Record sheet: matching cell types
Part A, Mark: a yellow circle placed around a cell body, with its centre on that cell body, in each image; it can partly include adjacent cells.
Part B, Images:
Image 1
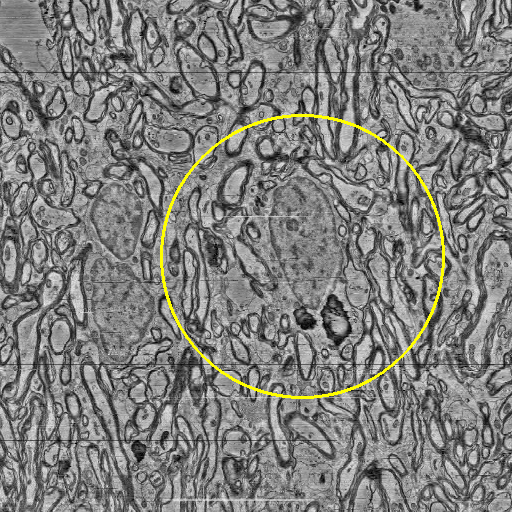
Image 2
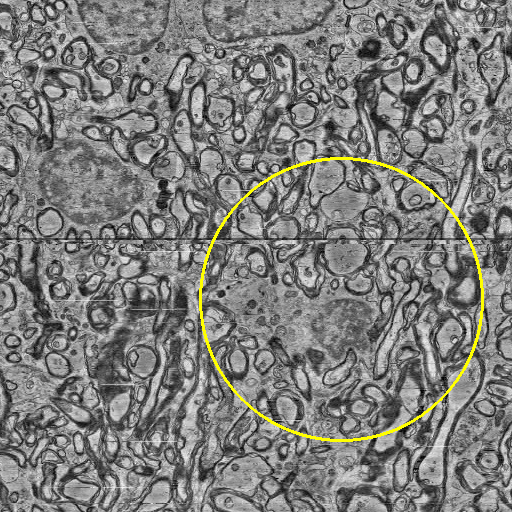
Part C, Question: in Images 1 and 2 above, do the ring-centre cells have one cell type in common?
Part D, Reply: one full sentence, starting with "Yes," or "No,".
Yes, the ring-centre cells of Image 1 and Image 2 are both of a single cell type.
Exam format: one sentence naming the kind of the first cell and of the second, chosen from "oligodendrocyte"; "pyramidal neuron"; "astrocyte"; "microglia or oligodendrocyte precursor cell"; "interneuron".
The cell at the ring centre is an oligodendrocyte in both pictures.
